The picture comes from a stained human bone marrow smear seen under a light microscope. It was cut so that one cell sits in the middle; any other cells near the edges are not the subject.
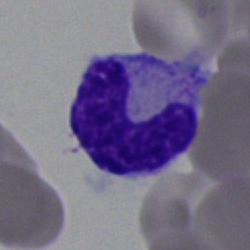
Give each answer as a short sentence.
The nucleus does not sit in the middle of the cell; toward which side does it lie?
Seen from the middle of the cell, the nucleus lies toward the lower left.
